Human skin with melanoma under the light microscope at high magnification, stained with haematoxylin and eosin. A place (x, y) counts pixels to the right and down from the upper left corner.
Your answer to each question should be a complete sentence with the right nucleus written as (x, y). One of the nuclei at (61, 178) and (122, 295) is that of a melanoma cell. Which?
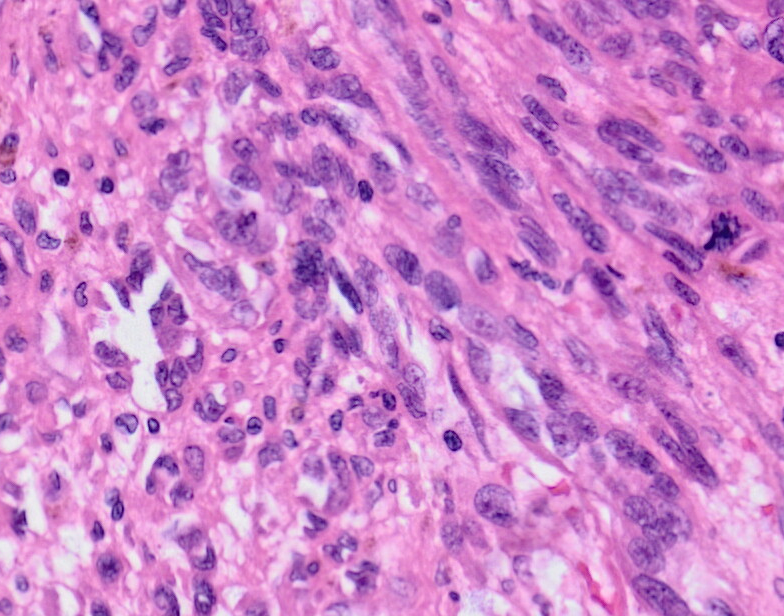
The one at (122, 295) is the nucleus belonging to a melanoma cell, not the other one.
